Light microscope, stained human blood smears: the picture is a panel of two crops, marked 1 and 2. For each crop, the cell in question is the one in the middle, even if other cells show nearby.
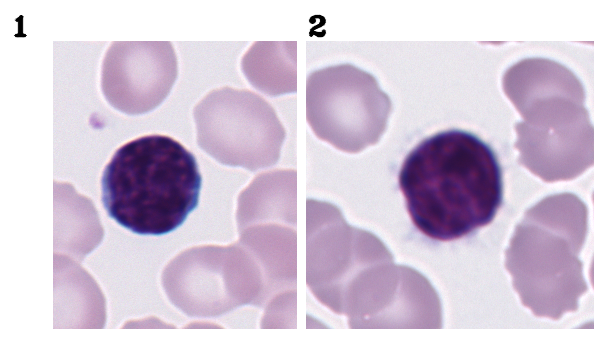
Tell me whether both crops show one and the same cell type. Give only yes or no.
no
